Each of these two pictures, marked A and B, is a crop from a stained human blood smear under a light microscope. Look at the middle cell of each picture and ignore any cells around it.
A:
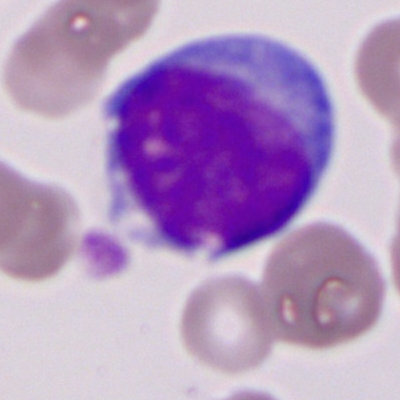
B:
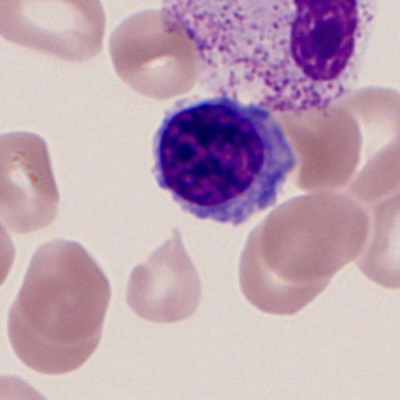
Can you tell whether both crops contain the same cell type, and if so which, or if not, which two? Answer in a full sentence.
No, a myeloblast and a lymphocyte are found in crop A and crop B, respectively.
